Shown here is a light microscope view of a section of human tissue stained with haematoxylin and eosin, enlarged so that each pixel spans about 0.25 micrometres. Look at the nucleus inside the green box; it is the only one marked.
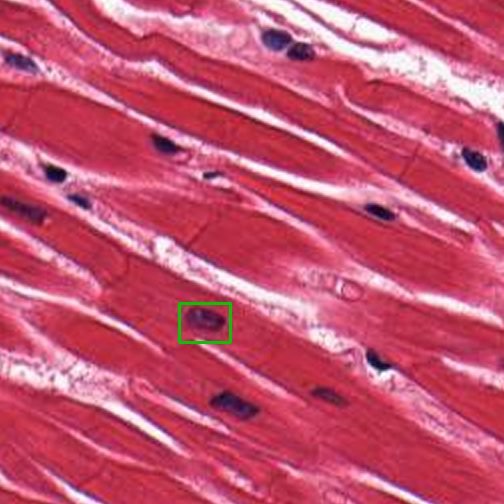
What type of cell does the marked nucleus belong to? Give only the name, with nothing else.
cardiomyocyte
